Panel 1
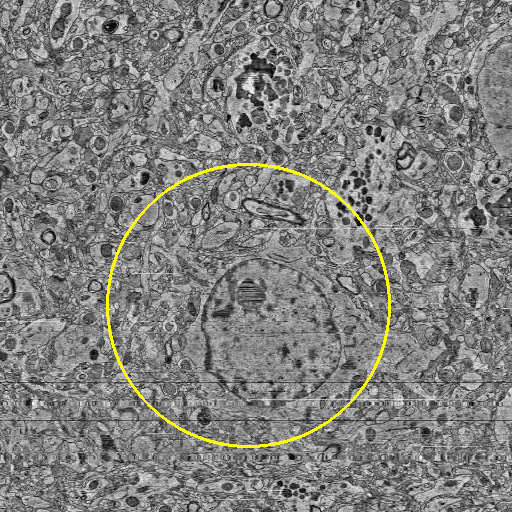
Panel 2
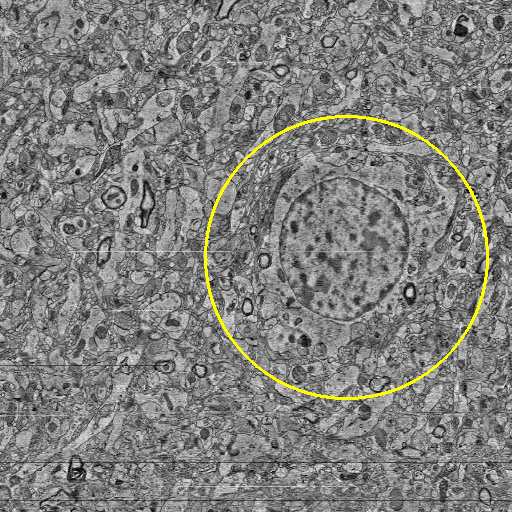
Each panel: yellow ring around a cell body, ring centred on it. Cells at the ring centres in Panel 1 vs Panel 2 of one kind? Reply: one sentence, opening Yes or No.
Yes, Panel 1 and Panel 2 have cells of one kind at the ring centres.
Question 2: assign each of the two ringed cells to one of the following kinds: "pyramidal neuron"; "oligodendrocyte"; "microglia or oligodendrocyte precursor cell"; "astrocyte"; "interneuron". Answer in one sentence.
Each of the two pictures has an astrocyte at the ring centre.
